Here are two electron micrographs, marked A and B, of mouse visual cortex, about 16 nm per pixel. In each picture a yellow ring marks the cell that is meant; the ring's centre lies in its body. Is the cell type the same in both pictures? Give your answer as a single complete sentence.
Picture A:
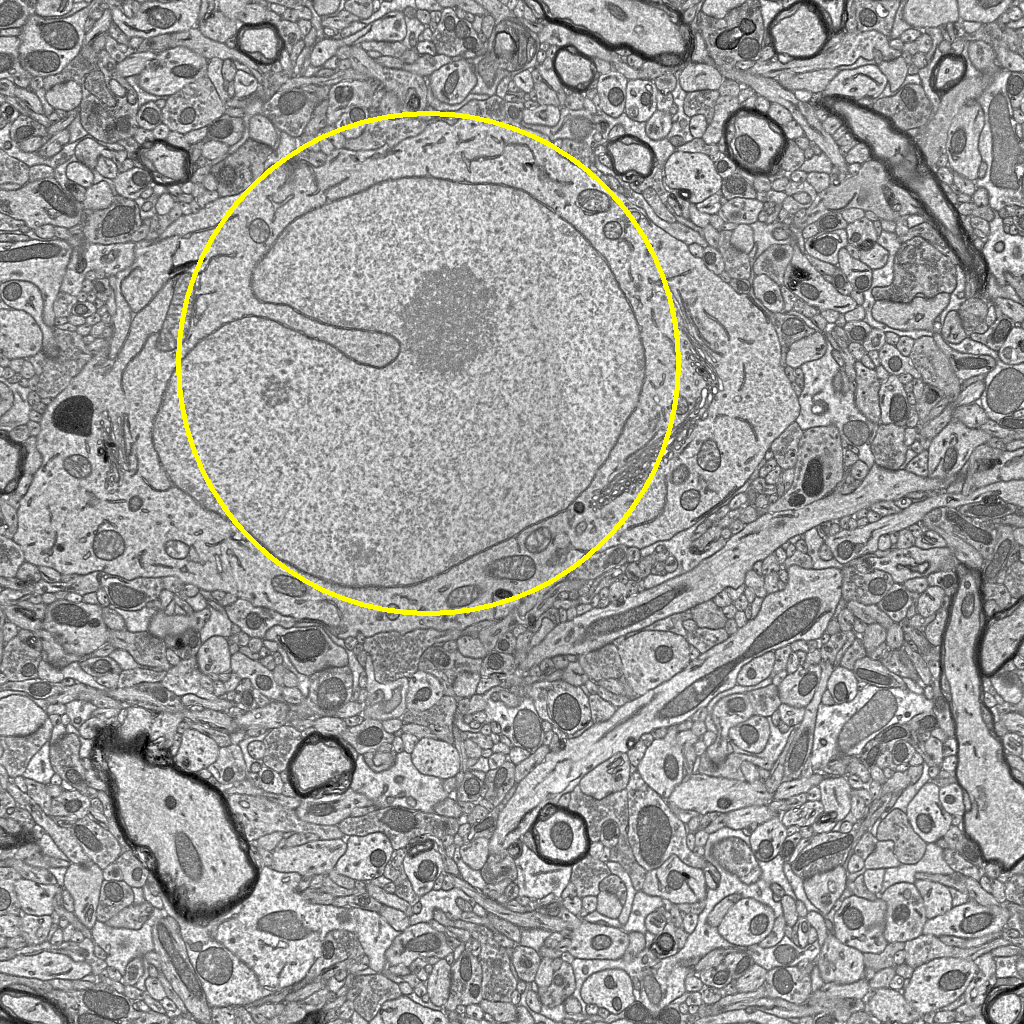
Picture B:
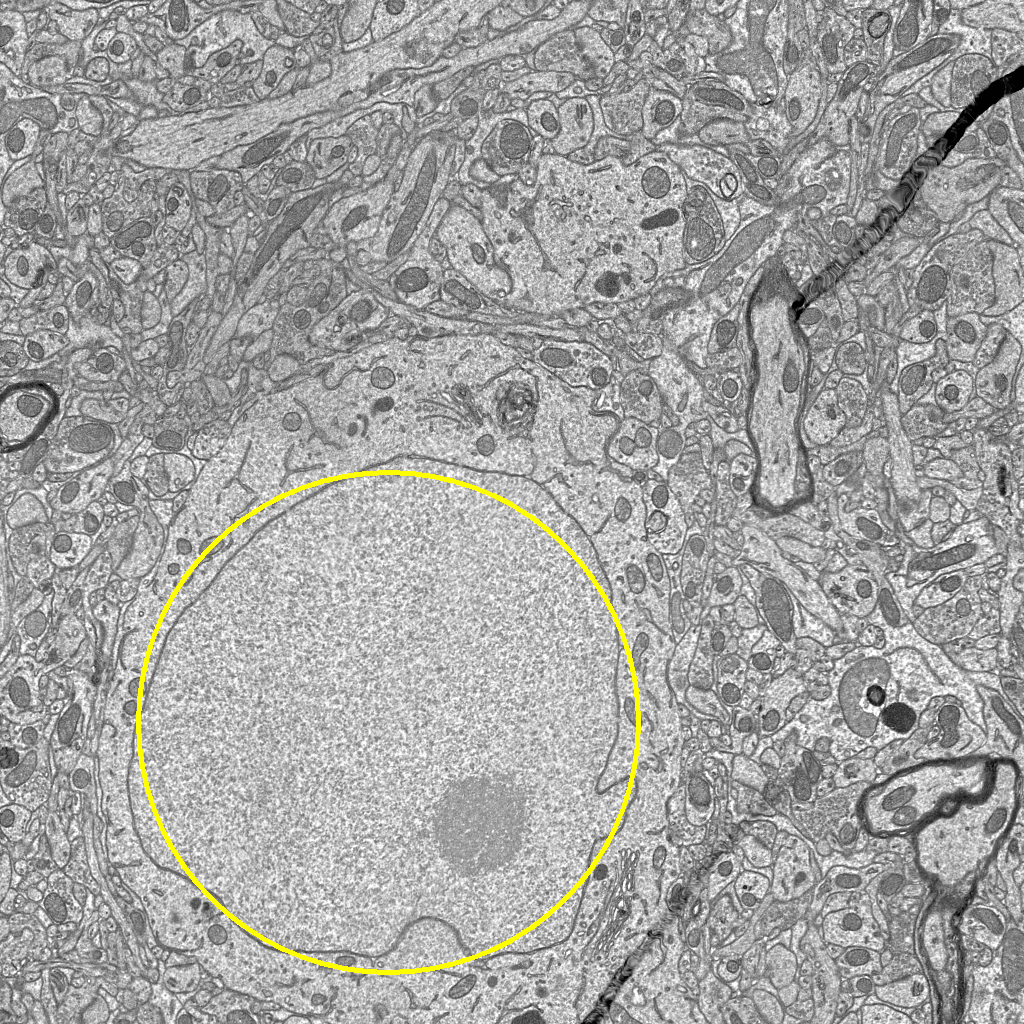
Yes; the cells in both pictures are excitatory neurons.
